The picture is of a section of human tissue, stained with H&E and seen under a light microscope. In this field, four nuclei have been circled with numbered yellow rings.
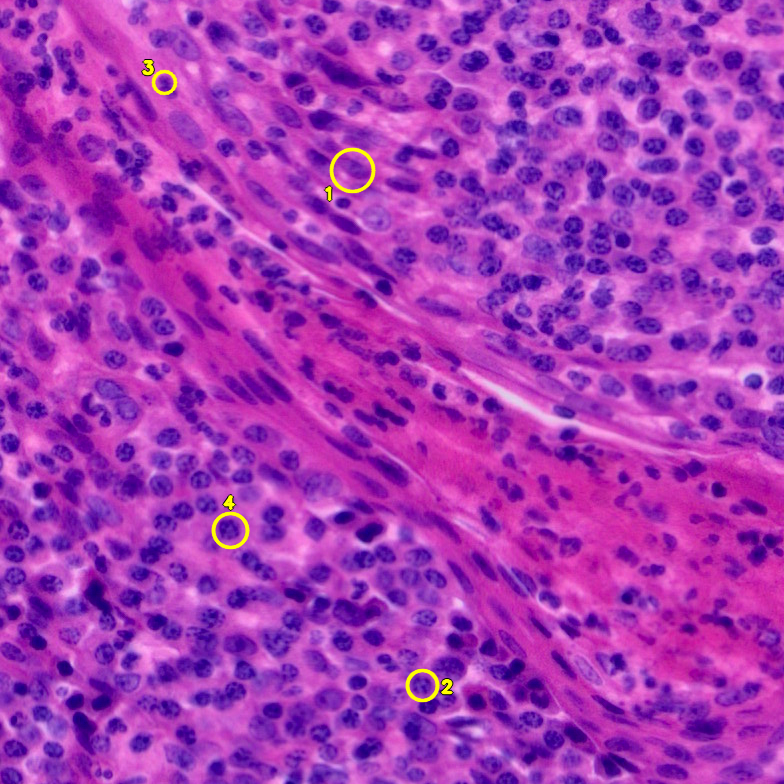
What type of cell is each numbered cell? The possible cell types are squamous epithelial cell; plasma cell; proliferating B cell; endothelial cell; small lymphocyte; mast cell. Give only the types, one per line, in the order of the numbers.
squamous epithelial cell
plasma cell
squamous epithelial cell
plasma cell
